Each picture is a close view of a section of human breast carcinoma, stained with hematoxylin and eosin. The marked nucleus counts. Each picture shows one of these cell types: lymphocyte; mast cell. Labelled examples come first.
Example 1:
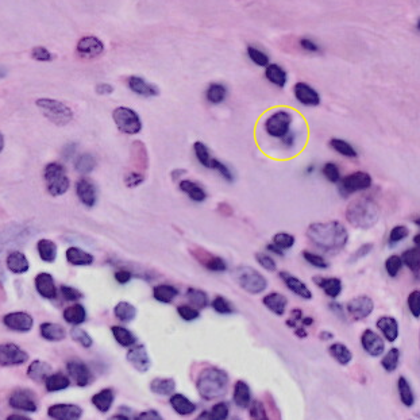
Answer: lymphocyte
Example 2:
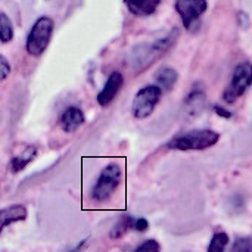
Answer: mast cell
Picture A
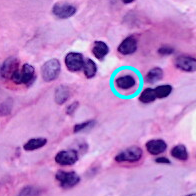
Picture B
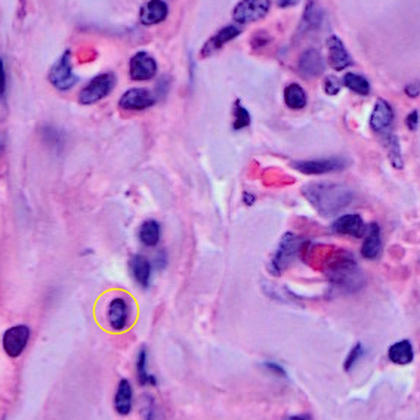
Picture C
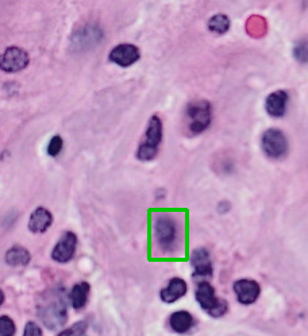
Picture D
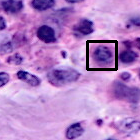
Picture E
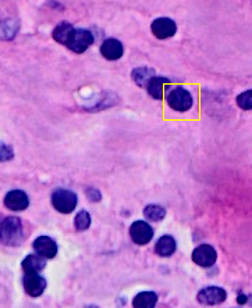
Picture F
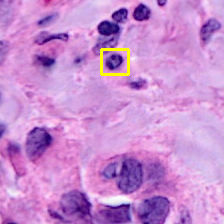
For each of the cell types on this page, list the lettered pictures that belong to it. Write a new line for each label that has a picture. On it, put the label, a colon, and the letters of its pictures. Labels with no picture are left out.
lymphocyte: A, E
mast cell: B, C, D, F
